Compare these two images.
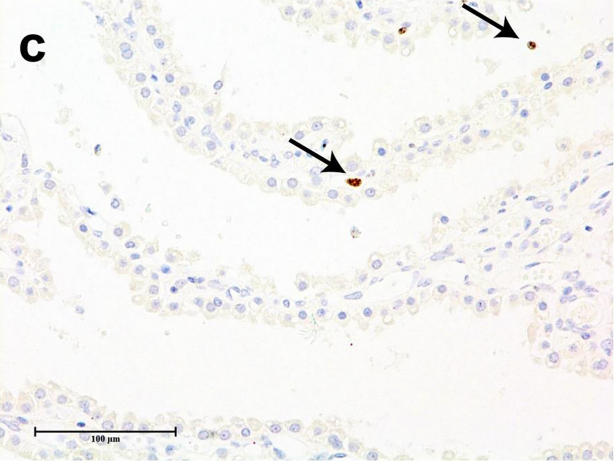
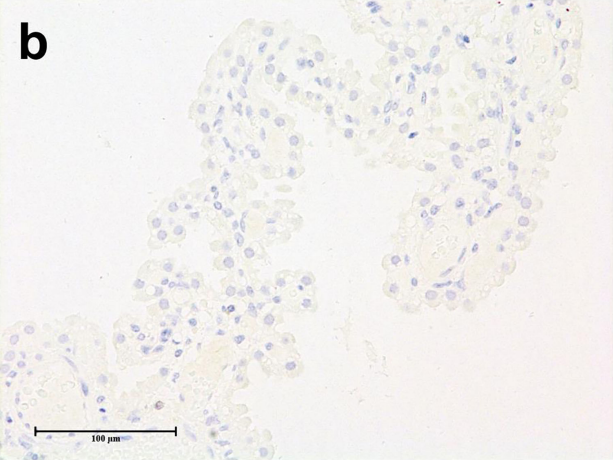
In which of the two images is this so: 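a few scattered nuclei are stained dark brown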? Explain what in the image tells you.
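The first image. Second image: all nuclei are pale blue, with no distinct brown nuclei.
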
